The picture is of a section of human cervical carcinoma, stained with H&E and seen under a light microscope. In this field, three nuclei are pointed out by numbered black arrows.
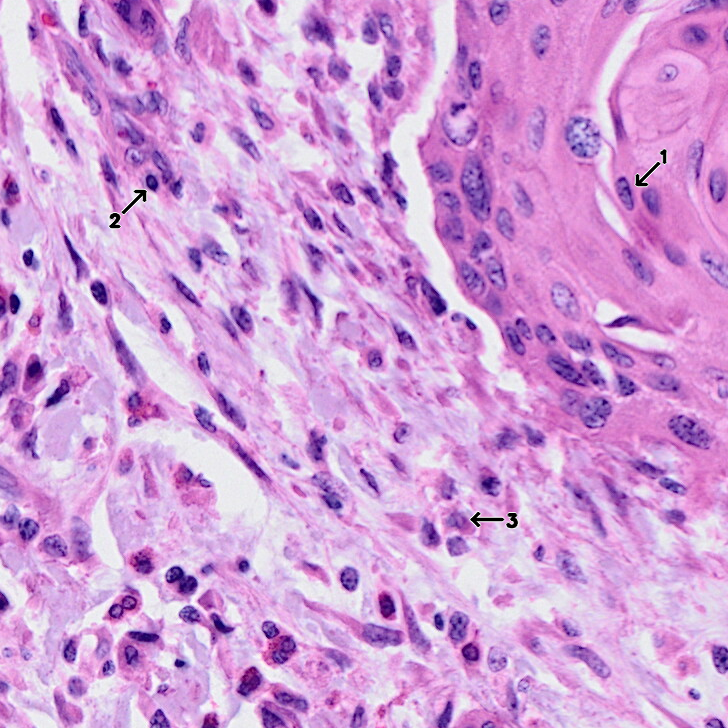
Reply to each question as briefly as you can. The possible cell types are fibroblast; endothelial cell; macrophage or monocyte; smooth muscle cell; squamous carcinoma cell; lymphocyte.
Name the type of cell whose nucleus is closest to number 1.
squamous carcinoma cell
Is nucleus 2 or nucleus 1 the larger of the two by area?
1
